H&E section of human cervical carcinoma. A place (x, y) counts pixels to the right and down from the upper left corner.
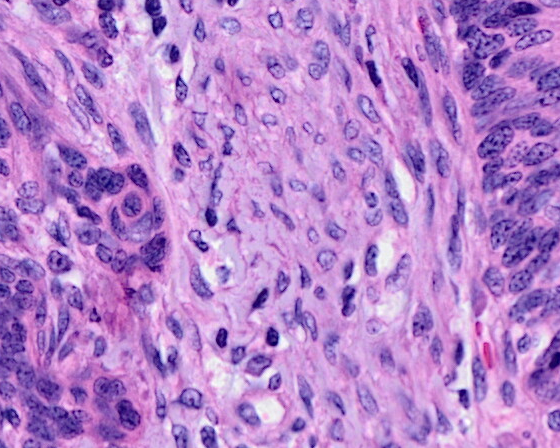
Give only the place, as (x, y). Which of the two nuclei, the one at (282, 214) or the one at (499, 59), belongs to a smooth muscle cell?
(282, 214)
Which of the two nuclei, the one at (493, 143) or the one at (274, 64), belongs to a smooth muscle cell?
(274, 64)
